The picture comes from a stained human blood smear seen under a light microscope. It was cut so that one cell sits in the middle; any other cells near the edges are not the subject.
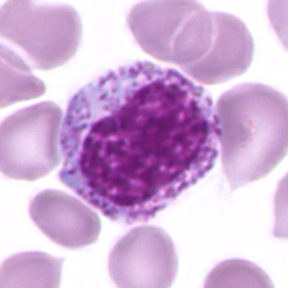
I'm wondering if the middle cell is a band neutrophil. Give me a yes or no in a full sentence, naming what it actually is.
No, the centered cell is a metamyelocyte and not a band neutrophil at all.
